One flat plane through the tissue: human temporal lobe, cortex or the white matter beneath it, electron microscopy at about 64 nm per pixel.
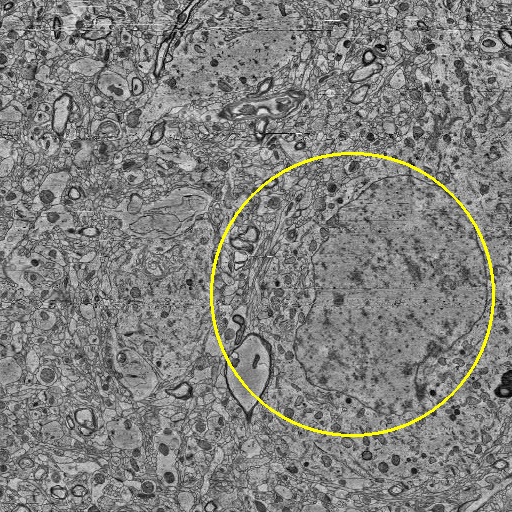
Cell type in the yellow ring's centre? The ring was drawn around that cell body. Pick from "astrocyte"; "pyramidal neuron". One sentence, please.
The ringed cell body is that of a pyramidal neuron.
